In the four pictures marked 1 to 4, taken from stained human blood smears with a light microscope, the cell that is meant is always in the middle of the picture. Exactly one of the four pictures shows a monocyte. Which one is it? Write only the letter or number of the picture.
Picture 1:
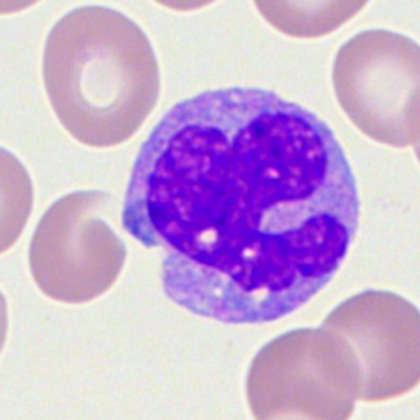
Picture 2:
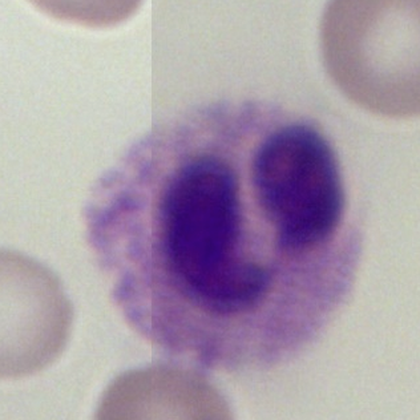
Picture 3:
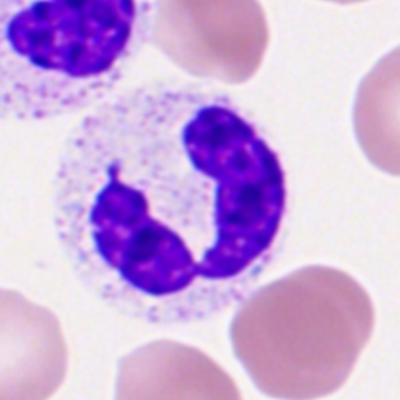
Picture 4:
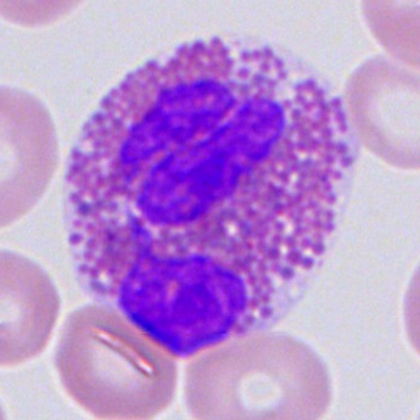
1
